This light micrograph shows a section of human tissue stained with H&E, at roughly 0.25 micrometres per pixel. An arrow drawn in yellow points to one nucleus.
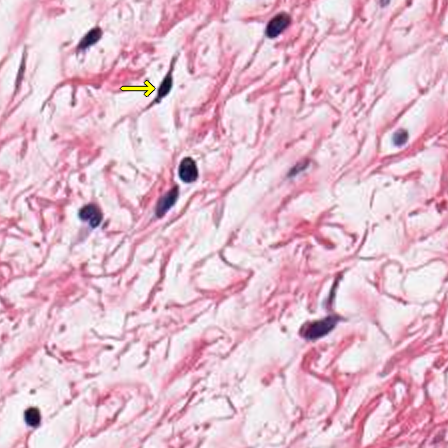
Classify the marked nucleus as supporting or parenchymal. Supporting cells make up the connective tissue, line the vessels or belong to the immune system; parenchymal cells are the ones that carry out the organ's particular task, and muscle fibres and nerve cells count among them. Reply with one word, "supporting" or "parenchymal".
supporting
